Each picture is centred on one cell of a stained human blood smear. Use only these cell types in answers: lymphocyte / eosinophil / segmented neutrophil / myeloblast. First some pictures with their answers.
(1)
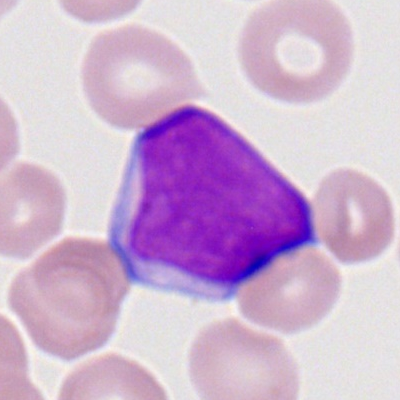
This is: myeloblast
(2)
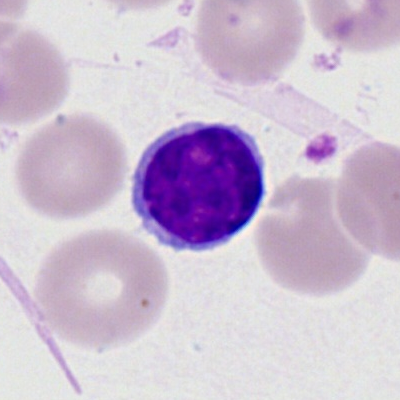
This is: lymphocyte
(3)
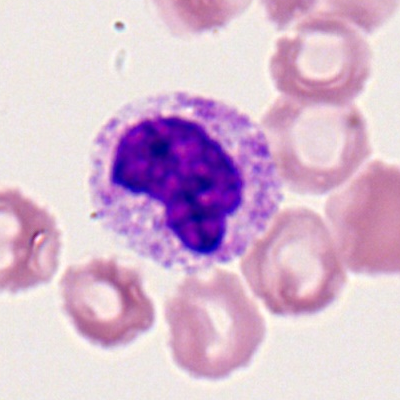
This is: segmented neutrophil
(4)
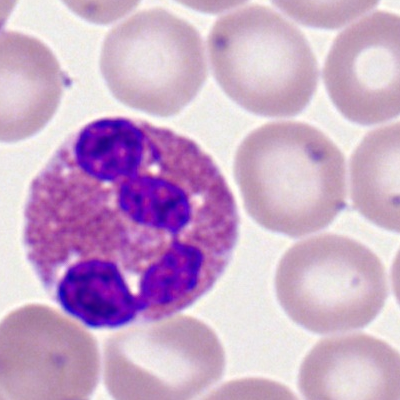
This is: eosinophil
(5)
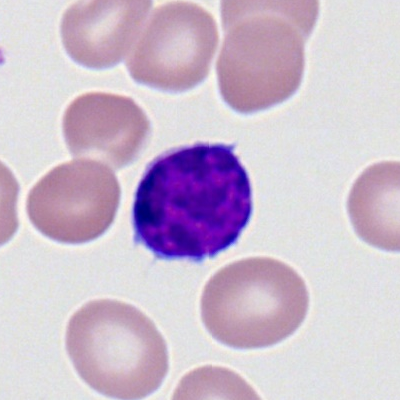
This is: lymphocyte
